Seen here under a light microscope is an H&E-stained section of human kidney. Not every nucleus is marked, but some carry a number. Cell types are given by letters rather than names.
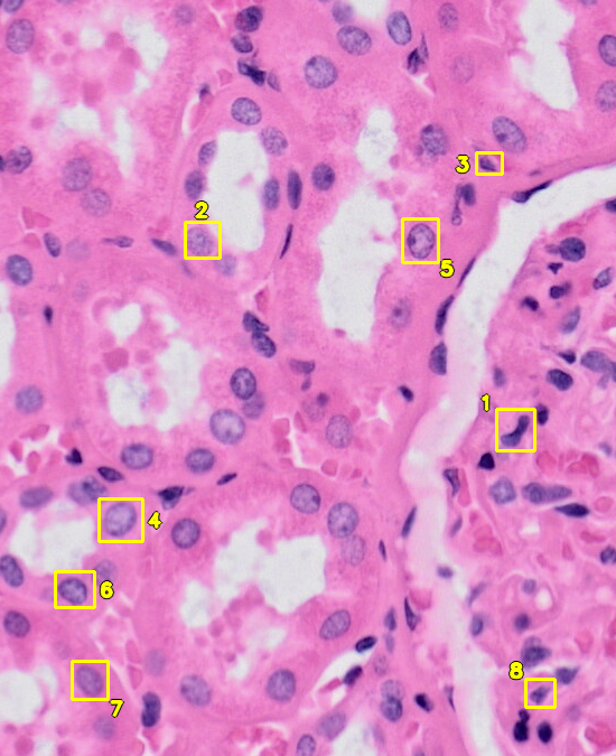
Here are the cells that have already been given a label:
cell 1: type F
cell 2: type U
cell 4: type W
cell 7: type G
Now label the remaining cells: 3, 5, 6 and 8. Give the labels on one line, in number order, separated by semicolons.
type F; type G; type U; type F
